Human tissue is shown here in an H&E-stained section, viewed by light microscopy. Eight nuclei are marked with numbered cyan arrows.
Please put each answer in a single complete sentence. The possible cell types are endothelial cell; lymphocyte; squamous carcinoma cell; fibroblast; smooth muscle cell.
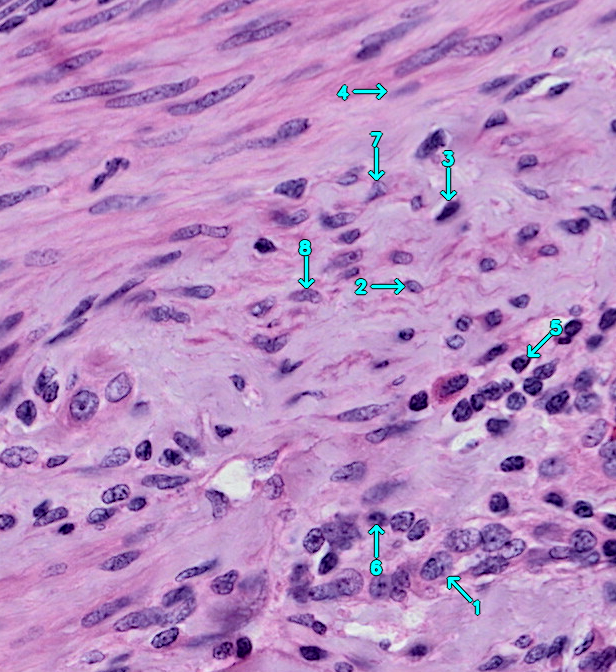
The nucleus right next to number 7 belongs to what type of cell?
The nearest nucleus to number 7 belongs to a smooth muscle cell.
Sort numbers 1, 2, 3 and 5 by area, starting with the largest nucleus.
The nuclei rank 1, 3, 5, 2, from largest to smallest.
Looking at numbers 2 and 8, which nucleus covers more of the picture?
Nucleus 8 is larger, with an area about 2 times that of nucleus 2.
